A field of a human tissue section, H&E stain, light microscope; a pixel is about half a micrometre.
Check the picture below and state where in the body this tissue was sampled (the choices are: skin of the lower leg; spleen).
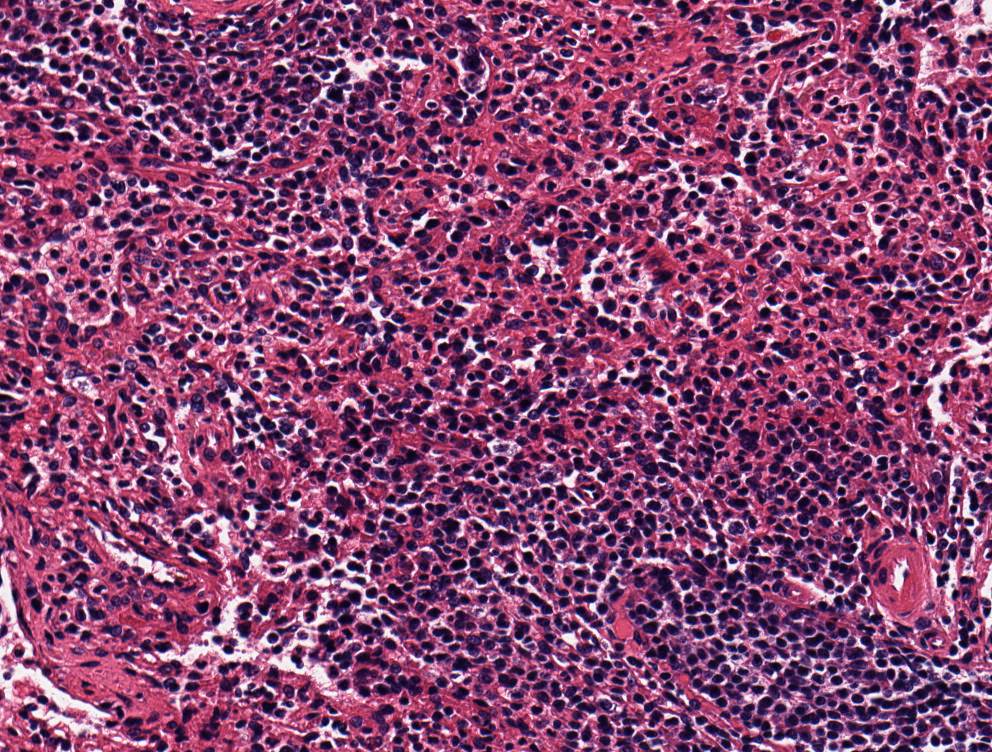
spleen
